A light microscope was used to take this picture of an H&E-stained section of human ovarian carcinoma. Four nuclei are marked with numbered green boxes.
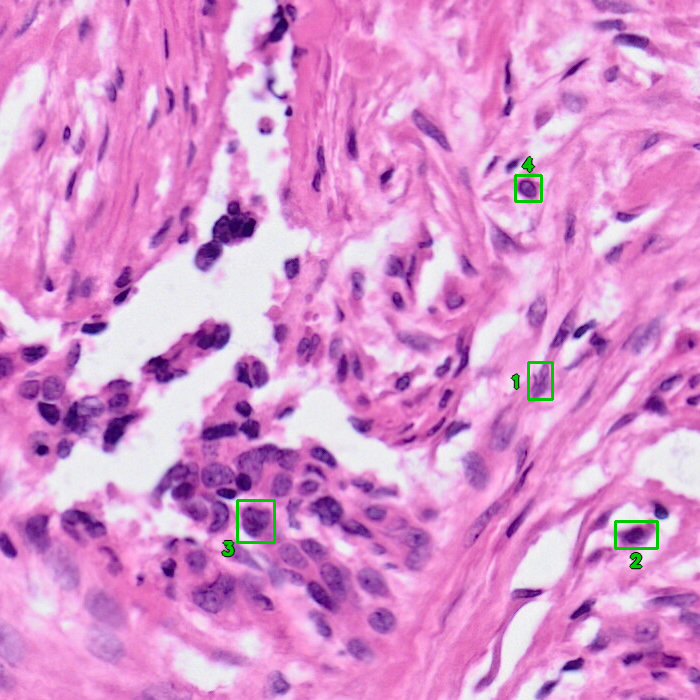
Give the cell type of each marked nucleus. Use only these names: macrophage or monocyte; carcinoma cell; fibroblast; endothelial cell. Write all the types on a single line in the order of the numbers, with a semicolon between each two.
fibroblast; fibroblast; carcinoma cell; fibroblast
